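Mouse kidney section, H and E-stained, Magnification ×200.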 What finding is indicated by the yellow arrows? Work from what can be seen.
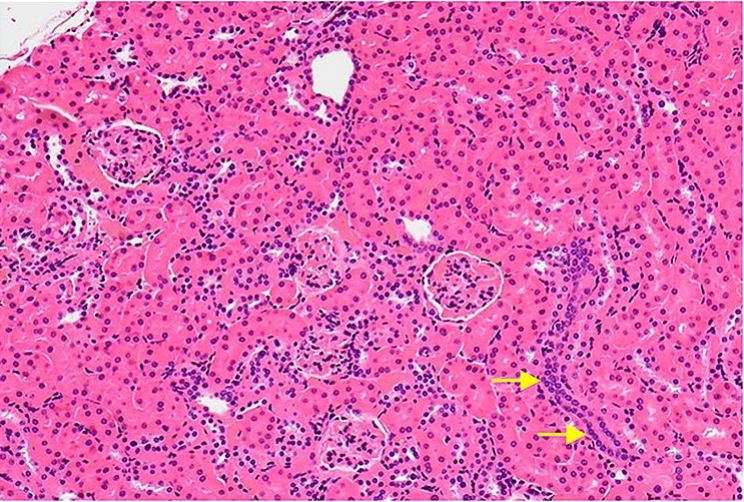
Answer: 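The yellow arrows point to a tubule lined by closely packed dark nuclei. This tubule looks bluish-purple against the bright pink surrounding tubules.
Answer: tubular basophilia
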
